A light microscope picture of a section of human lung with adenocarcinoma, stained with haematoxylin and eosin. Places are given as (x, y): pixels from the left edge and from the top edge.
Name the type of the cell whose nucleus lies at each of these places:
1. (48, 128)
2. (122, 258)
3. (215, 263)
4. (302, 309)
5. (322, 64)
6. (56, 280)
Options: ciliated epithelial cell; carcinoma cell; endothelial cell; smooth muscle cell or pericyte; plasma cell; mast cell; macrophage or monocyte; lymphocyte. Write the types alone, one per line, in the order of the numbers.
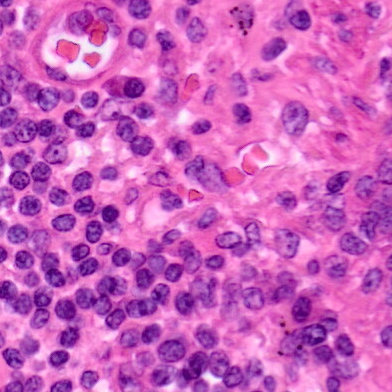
lymphocyte
lymphocyte
lymphocyte
plasma cell
smooth muscle cell or pericyte
lymphocyte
